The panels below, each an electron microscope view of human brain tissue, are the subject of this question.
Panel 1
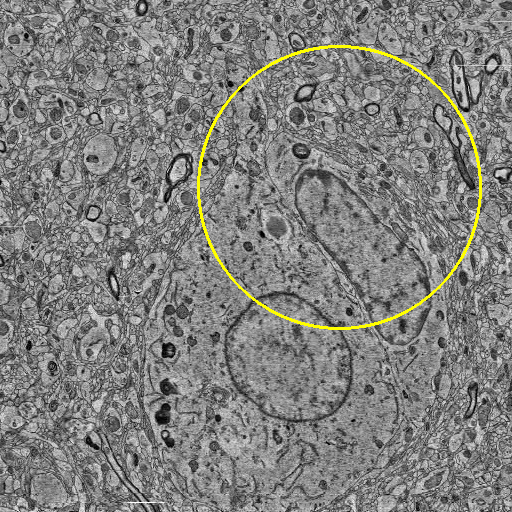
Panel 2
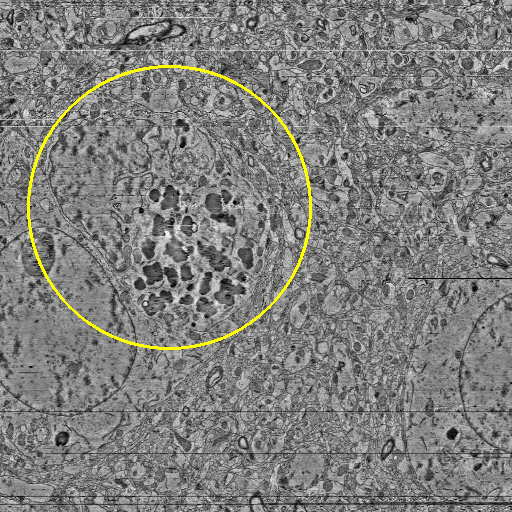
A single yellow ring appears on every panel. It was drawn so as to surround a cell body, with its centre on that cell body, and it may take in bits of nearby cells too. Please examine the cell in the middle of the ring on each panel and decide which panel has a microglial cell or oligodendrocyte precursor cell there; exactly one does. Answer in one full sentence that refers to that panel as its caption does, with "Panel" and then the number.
Panel 1 is where the ring's central cell answers the question.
